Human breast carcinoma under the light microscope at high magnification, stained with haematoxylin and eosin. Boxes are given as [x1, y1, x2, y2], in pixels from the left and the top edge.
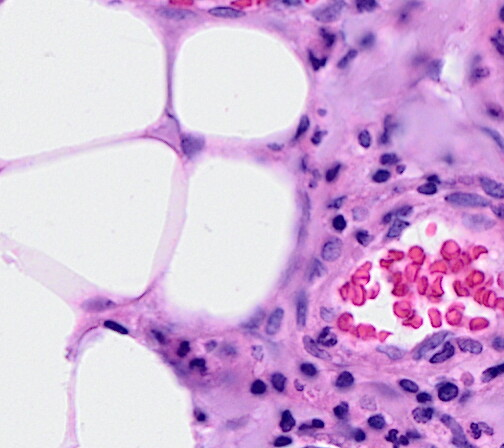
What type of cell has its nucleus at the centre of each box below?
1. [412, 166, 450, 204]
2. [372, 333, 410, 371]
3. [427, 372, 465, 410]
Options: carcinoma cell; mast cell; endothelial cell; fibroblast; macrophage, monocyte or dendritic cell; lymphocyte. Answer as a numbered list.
1. lymphocyte
2. endothelial cell
3. lymphocyte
